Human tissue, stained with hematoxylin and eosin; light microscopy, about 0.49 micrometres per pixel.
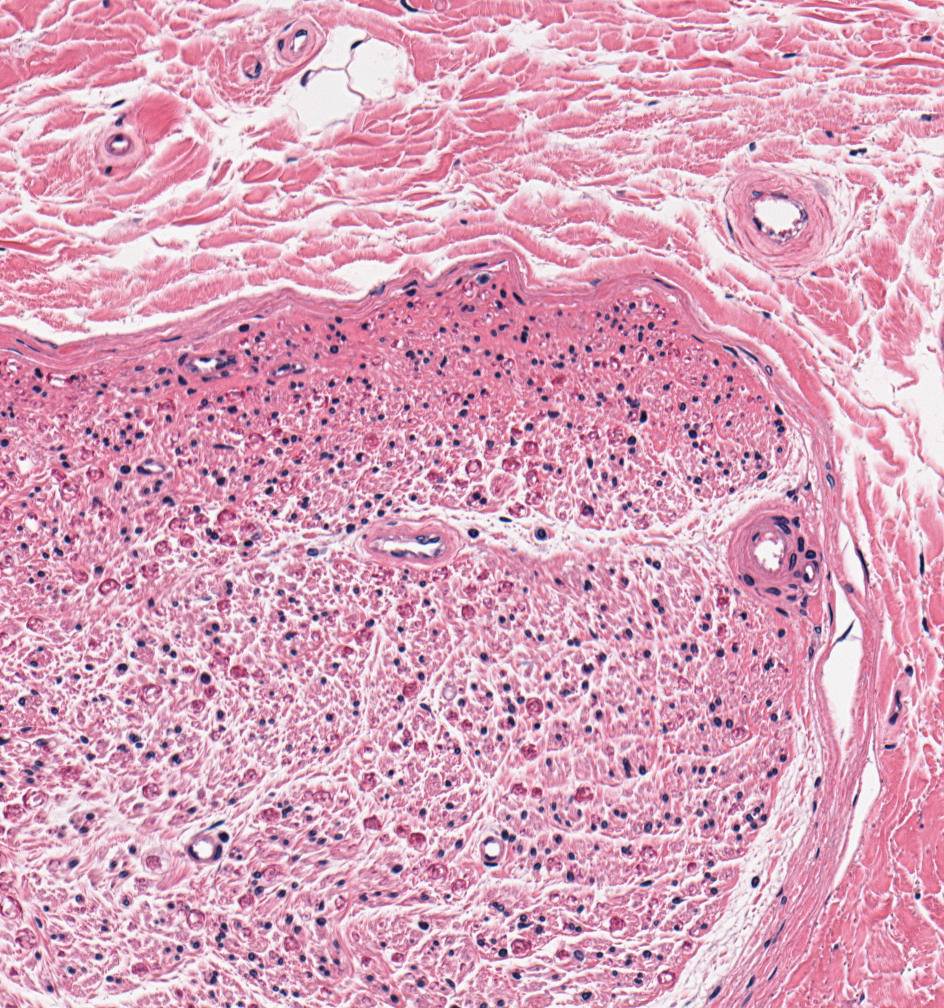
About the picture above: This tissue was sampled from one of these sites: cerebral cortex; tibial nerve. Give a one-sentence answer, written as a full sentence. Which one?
The section was prepared from tissue of the tibial nerve.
